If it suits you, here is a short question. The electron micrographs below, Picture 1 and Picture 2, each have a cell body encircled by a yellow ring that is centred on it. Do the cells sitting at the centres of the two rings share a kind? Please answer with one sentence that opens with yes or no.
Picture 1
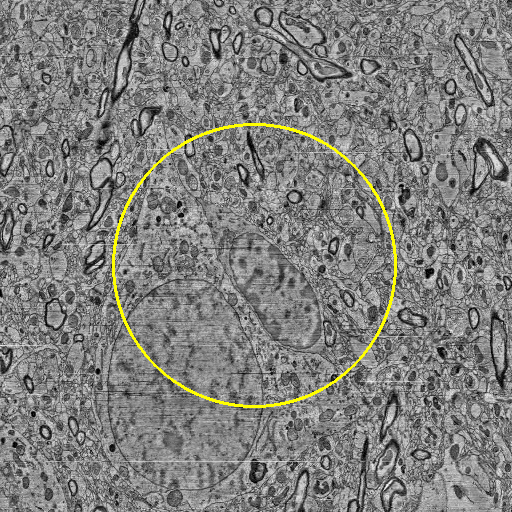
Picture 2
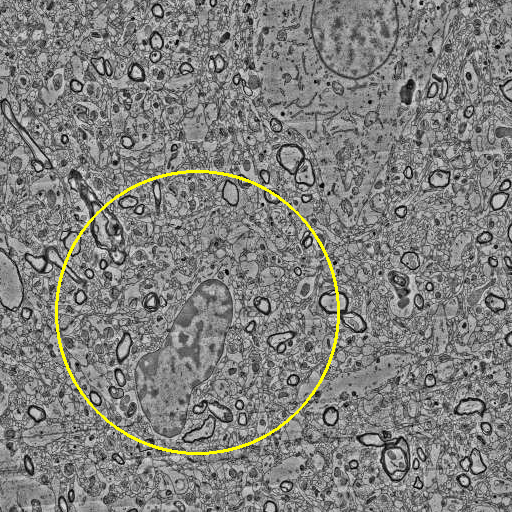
No, the two cells sitting at the ring centres fall into two kinds.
